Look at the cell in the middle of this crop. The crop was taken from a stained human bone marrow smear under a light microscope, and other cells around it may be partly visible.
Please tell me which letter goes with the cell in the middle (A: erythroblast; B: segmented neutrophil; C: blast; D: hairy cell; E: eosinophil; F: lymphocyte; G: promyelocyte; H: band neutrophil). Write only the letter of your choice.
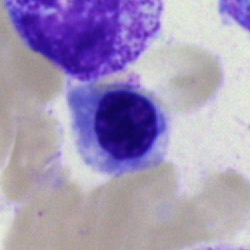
A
